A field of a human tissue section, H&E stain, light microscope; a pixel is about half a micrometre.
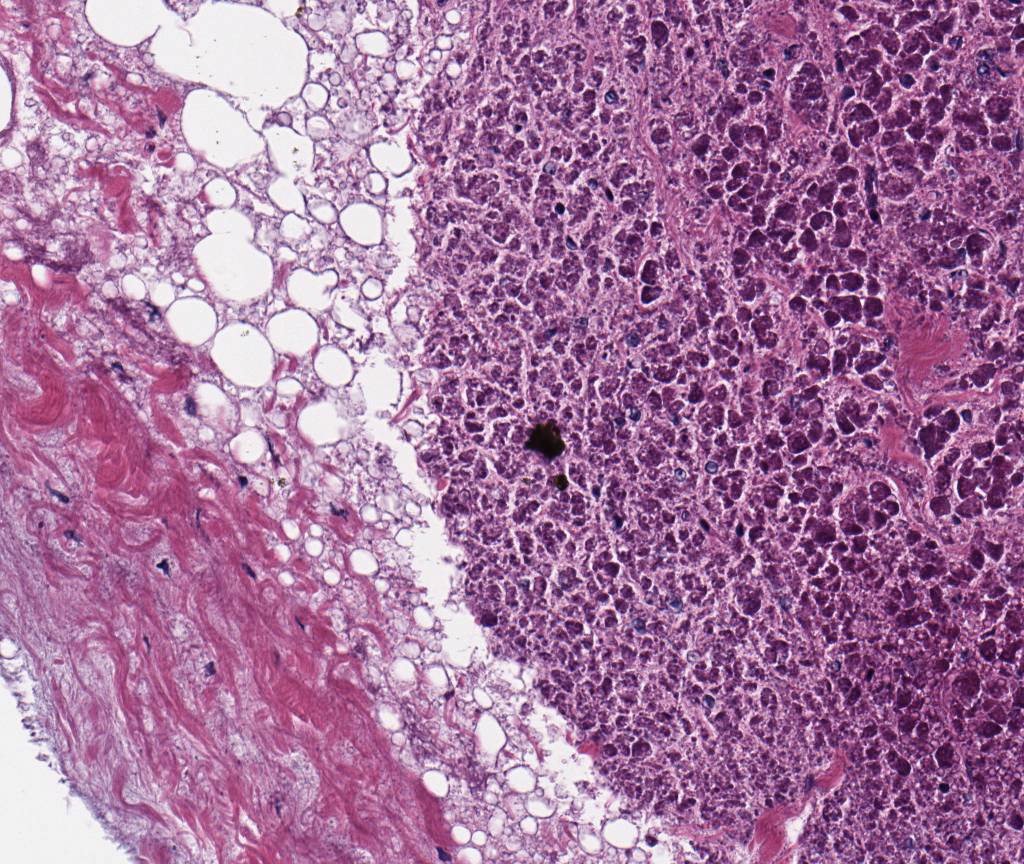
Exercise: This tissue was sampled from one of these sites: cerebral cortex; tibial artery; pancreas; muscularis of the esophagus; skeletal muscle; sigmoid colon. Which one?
pancreas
